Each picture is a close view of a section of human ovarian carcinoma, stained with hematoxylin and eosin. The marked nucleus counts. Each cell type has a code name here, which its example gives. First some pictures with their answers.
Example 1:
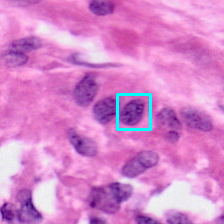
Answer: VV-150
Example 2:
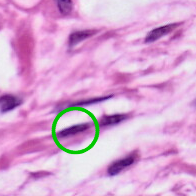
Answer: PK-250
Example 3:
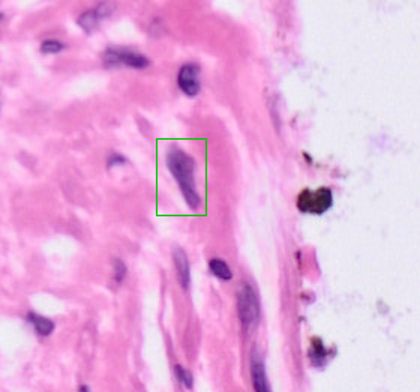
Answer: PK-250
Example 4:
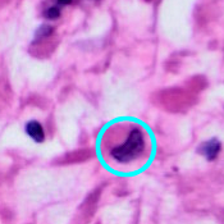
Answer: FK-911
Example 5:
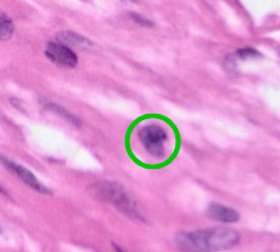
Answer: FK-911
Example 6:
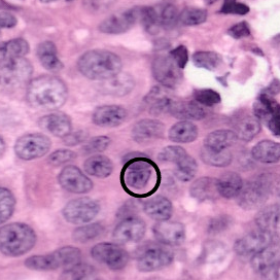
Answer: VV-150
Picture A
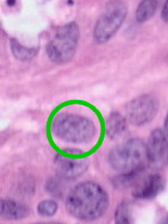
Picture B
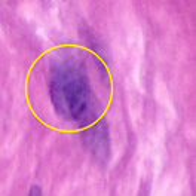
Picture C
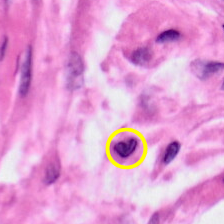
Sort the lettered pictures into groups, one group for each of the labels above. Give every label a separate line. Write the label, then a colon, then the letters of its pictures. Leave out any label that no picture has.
VV-150: A
PK-250: B
FK-911: C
